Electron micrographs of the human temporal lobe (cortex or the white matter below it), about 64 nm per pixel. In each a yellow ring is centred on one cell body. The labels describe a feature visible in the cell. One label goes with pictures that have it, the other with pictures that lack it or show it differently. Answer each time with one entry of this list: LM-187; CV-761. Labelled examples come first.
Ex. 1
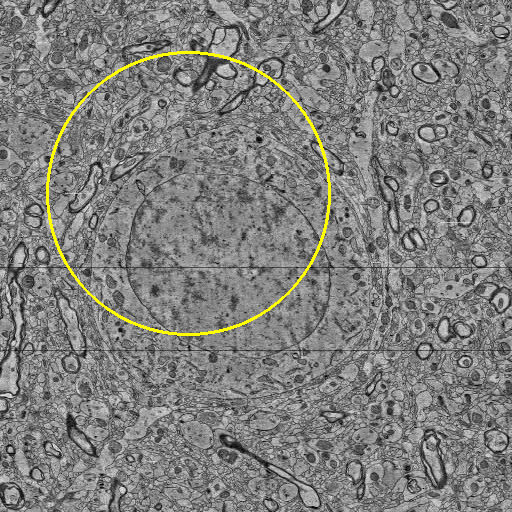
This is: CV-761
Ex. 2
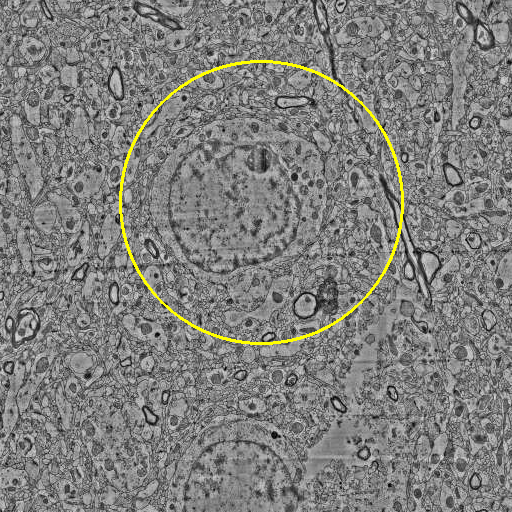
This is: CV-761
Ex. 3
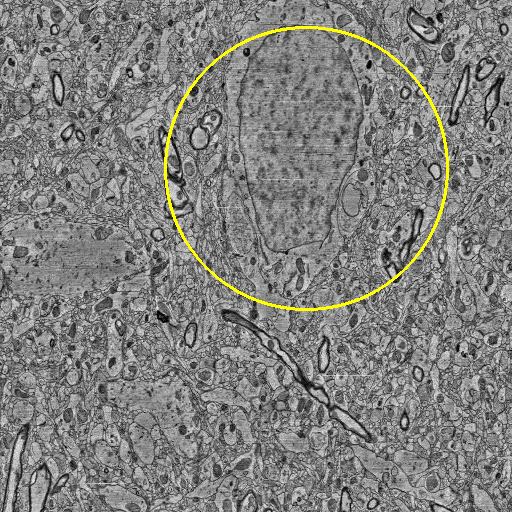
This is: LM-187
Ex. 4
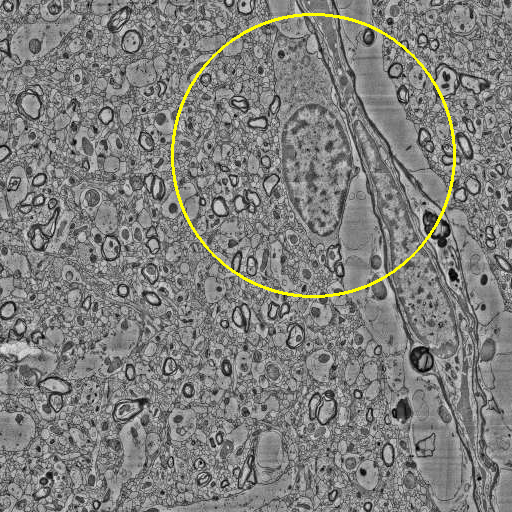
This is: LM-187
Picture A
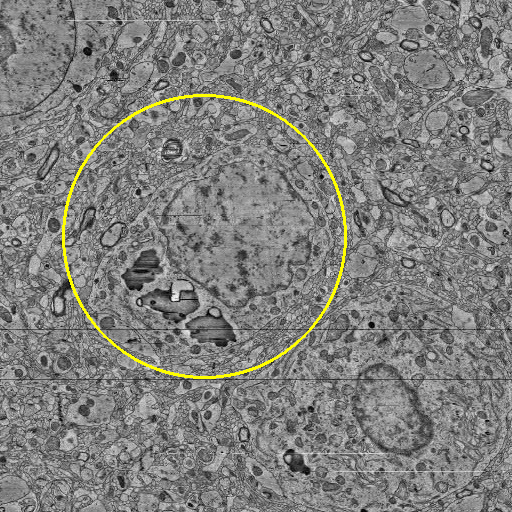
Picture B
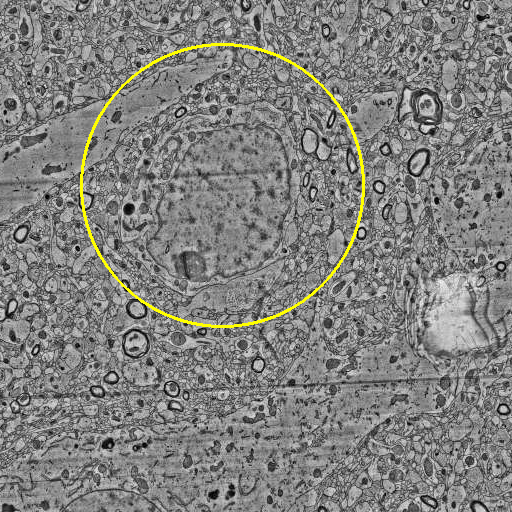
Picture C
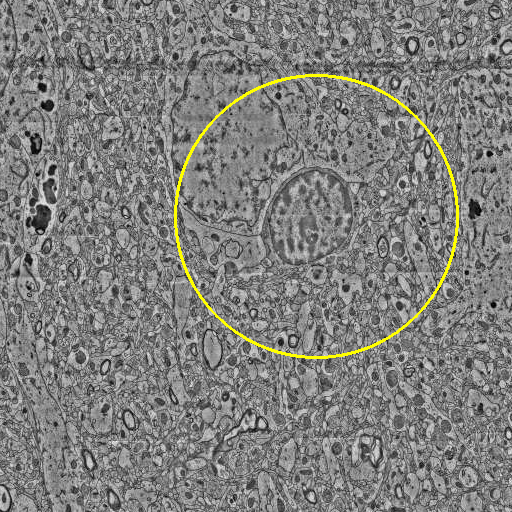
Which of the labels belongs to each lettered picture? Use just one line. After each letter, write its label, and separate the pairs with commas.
A CV-761, B CV-761, C CV-761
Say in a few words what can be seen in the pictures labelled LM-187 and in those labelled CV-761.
LM-187: clearly elongated nuclei; CV-761: round or nearly round nuclei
